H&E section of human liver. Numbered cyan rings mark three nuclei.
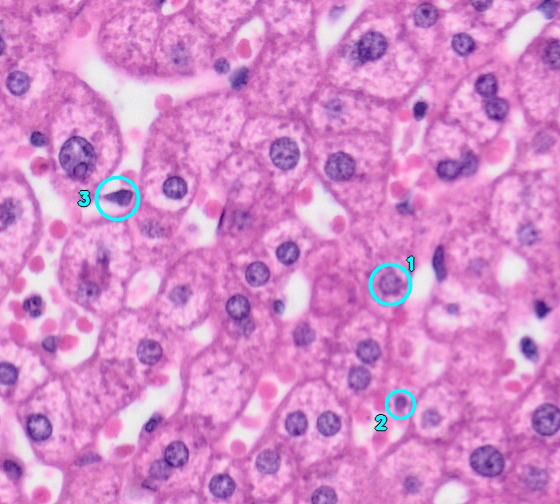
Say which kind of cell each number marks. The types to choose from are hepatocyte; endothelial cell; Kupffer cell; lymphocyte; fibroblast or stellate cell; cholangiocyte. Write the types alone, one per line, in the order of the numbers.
hepatocyte
lymphocyte
Kupffer cell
